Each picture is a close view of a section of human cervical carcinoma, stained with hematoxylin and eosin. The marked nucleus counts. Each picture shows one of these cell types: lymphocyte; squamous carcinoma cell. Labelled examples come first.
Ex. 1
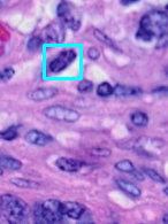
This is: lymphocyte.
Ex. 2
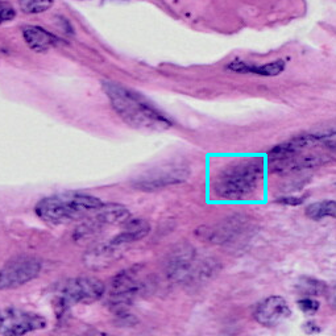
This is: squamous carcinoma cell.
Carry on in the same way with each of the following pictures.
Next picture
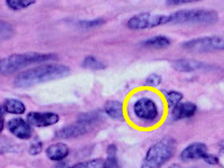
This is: lymphocyte.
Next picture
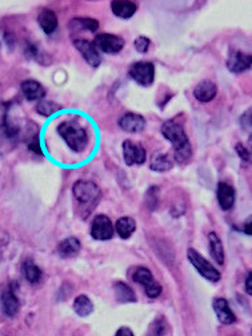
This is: lymphocyte.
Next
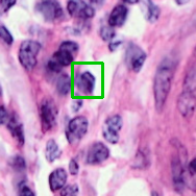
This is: lymphocyte.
